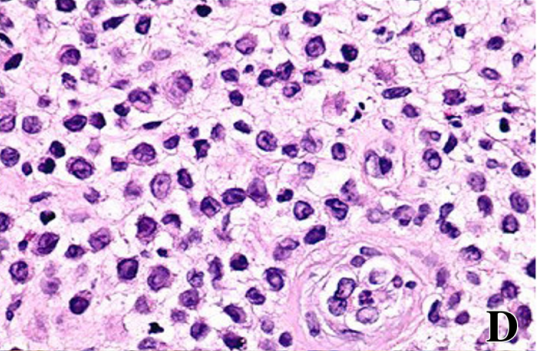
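This is a lesion made of Langerhans cells mixed with inflammatory cells. Scattered among them are smaller cells with darker, more compact nuclei, the inflammatory cells. Near the bottom right a small blood vessel is cut across, surrounded by a pink rim of its wall.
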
